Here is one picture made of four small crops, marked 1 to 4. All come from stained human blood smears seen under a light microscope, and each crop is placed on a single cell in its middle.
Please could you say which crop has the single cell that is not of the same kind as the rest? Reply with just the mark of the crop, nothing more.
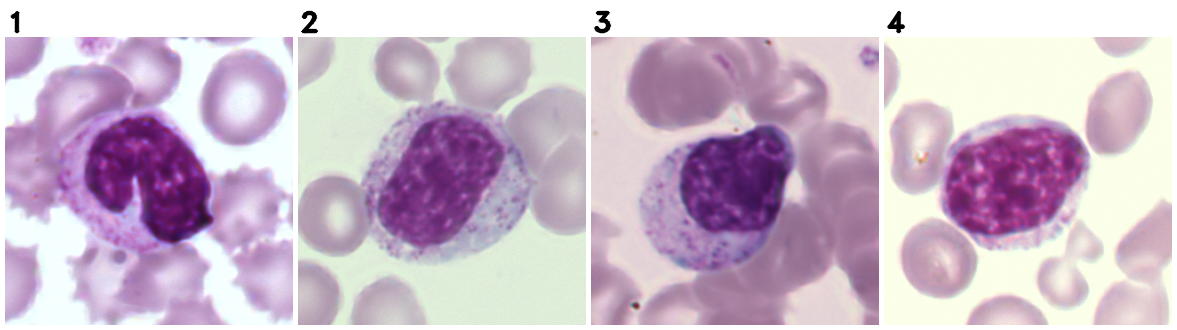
1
